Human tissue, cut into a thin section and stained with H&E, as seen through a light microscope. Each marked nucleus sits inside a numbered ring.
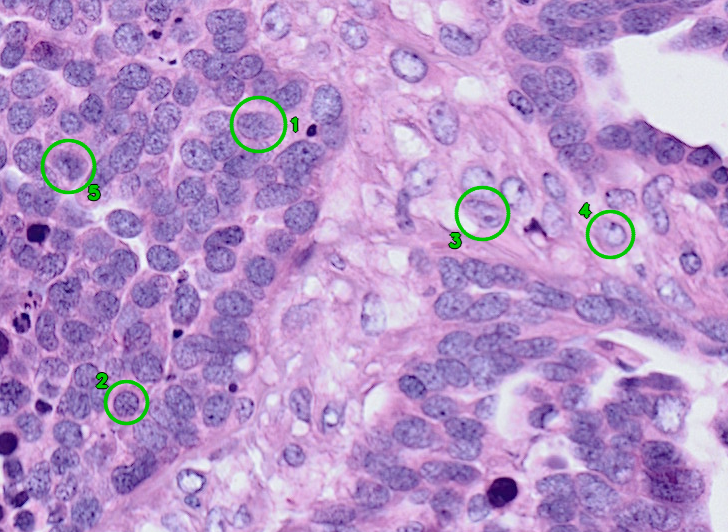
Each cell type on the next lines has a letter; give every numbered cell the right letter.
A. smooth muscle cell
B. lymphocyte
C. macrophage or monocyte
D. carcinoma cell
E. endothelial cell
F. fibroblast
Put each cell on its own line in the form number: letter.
1: D
2: D
3: F
4: F
5: D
